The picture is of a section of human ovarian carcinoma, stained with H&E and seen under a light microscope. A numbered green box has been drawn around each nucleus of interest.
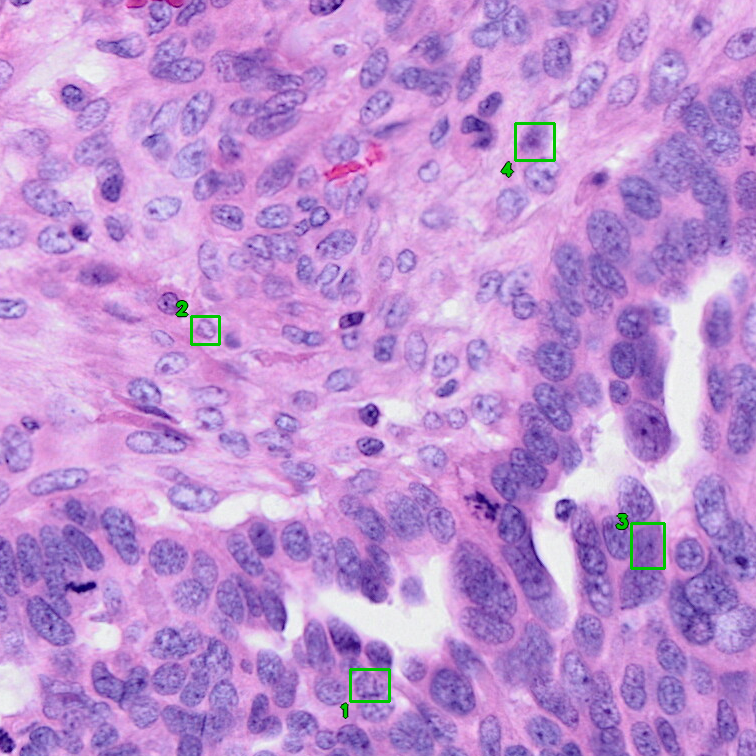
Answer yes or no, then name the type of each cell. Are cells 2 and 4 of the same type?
Yes, cells 2 and 4 are alike in being fibroblasts.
